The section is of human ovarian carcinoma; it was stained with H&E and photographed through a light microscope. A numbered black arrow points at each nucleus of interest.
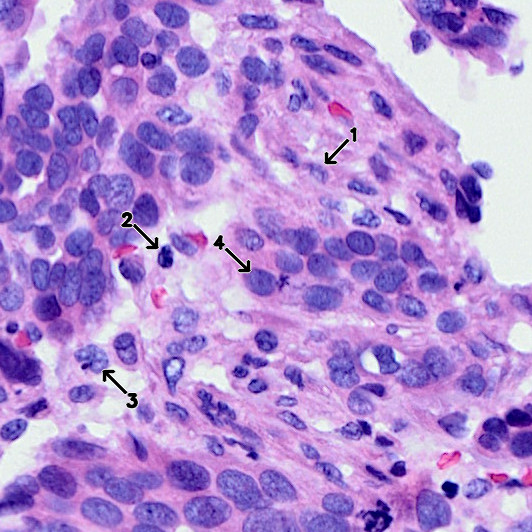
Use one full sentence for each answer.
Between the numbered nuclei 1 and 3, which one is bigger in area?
At about 2.5 times the area of nucleus 1, nucleus 3 is the larger of the two.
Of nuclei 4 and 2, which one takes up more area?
The larger nucleus is 4, at roughly 2 times the area of 2.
